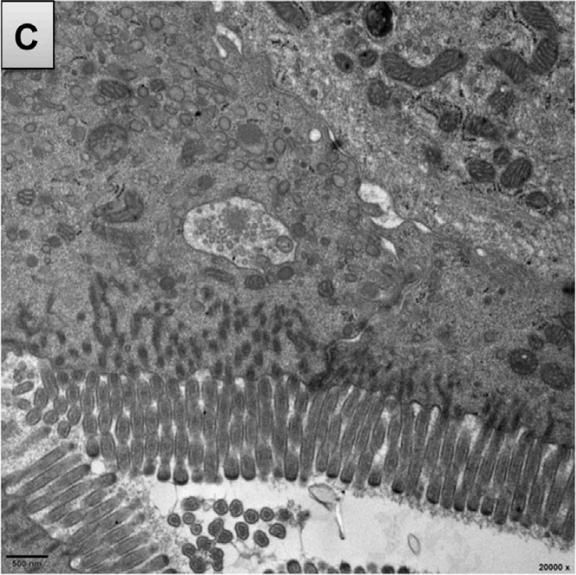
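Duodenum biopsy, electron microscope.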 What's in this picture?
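The apical part of intestinal epithelial cells is seen, with a dense palisade of tall, evenly spaced microvilli facing the lumen, and round cross-sections of microvilli lying in the lumen below. The cytoplasm above holds many mitochondria and small vesicles, and a membrane-bound vacuole filled with small vesicular material lies in the middle of the cell.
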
